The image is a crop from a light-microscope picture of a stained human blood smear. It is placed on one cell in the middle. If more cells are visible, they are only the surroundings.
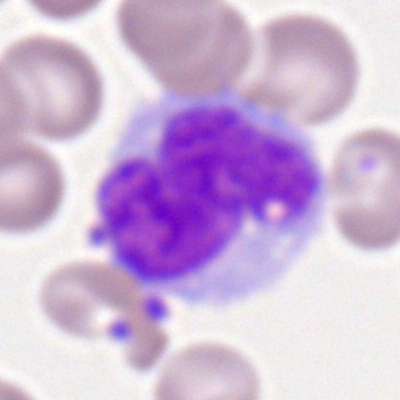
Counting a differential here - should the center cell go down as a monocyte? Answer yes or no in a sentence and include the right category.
Yes, the centrally placed cell is a monocyte.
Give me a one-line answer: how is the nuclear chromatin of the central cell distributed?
There is no coarse clumping; the chromatin stays fine throughout.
